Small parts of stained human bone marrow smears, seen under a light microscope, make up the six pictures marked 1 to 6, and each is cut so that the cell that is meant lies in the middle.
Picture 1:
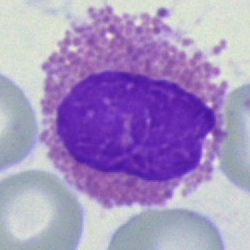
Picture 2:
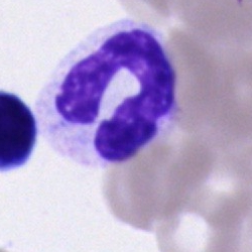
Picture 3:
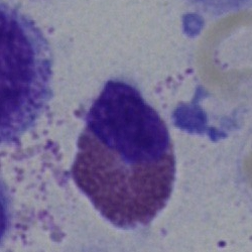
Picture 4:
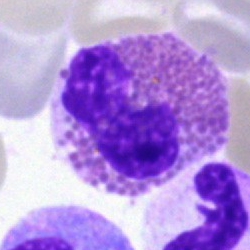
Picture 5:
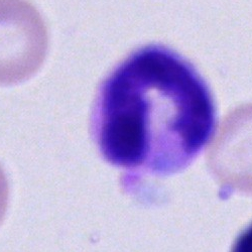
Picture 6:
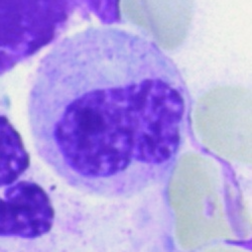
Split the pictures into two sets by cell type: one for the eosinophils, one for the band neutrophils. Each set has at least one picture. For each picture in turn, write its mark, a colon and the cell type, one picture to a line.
1: eosinophil
2: band neutrophil
3: eosinophil
4: eosinophil
5: band neutrophil
6: band neutrophil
